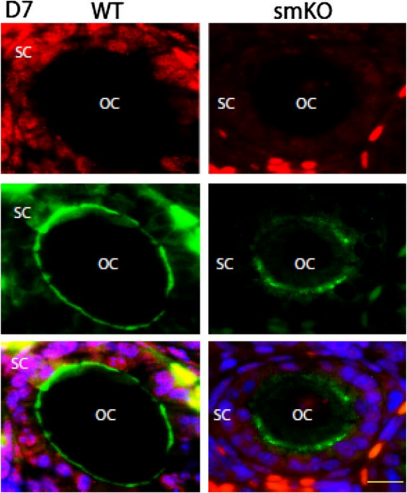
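These fluorescence images of ovary show follicles, each with a round oocyte at the centre, in two columns with red, green and merged rows. In the left column a large oocyte is outlined by a sharp green ring at its surface, and red-stained stromal cells crowd the tissue outside the follicle. In the merged image a layer of cells with blue nuclei lies between the oocyte and the surrounding stroma. In the right column the oocyte is smaller and its green outline is faint and dotted rather than continuous. The red staining of the surrounding cells there is weak, with only a few bright red cells.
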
